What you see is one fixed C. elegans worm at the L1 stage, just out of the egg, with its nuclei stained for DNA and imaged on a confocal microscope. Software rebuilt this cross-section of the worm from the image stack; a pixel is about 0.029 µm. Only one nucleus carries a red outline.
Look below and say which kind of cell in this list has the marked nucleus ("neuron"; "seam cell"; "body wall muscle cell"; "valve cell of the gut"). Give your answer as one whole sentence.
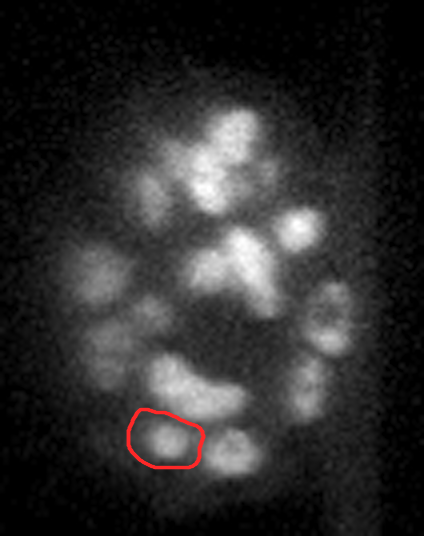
This nucleus is from a body wall muscle cell.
